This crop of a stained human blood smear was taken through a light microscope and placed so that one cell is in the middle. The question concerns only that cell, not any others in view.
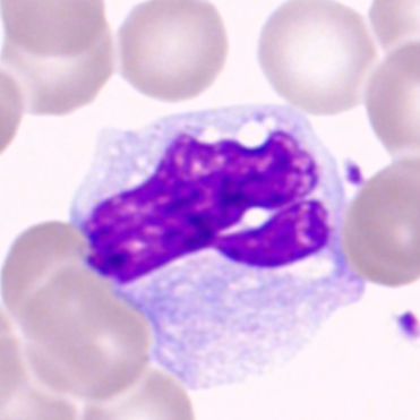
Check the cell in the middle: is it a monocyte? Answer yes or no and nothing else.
yes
